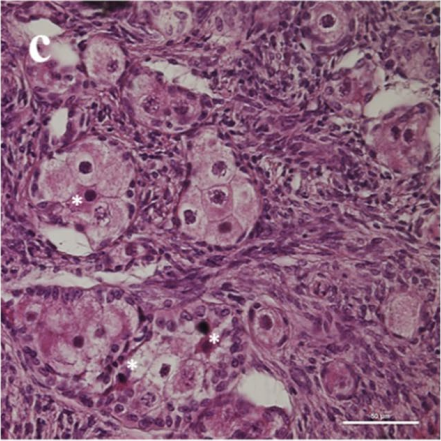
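Ovarian tissue with many small follicles lying close together in a cellular stroma of spindle-shaped cells with elongated dark nuclei. Several follicles contain more than one oocyte. Some oocytes have a deeper pink, glassy cytoplasm, and small very dark condensed bodies lie among them, unlike the healthy pale oocytes nearby. Clear clefts separate some groups of follicles from the stroma.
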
